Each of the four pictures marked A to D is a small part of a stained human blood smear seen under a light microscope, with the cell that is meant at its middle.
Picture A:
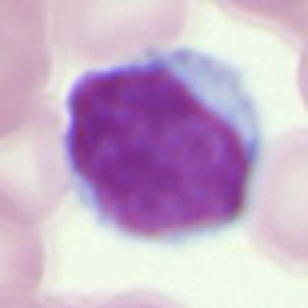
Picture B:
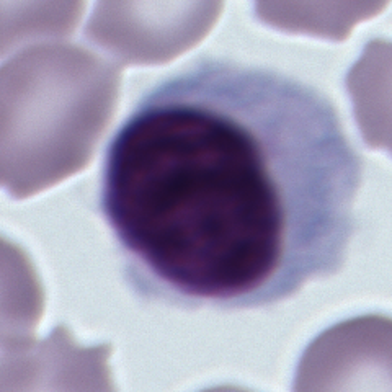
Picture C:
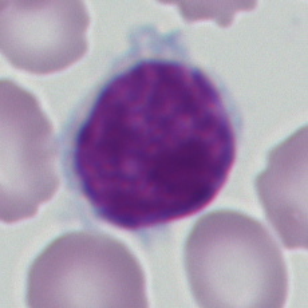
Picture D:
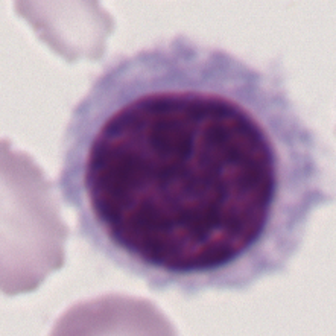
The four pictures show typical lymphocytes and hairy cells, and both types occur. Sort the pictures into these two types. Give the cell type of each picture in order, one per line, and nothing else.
typical lymphocyte
hairy cell
hairy cell
hairy cell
